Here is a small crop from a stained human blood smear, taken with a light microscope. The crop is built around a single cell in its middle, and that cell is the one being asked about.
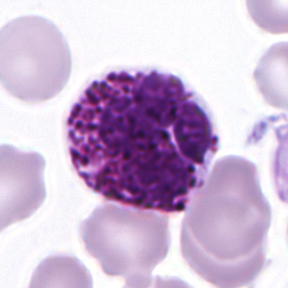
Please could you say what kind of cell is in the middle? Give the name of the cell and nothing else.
basophil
